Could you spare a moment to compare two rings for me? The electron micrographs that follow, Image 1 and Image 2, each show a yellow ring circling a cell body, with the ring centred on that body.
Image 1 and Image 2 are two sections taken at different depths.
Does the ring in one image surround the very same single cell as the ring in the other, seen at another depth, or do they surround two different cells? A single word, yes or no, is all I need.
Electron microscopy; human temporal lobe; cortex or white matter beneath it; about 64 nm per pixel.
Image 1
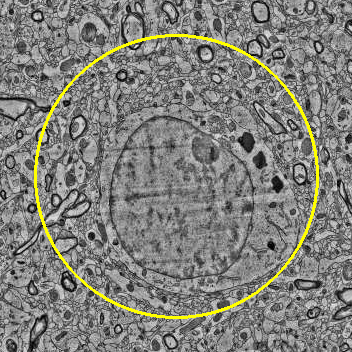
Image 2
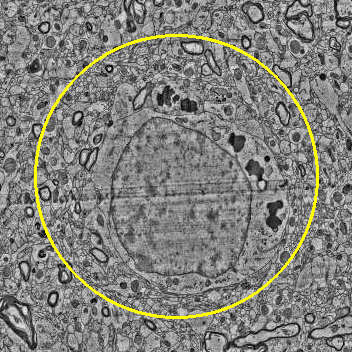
yes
